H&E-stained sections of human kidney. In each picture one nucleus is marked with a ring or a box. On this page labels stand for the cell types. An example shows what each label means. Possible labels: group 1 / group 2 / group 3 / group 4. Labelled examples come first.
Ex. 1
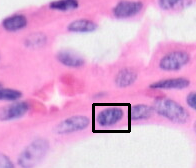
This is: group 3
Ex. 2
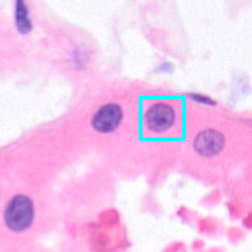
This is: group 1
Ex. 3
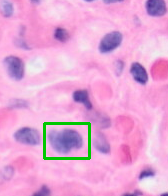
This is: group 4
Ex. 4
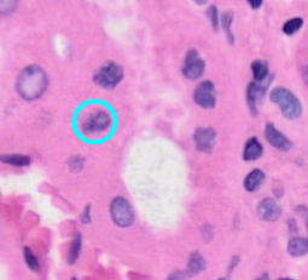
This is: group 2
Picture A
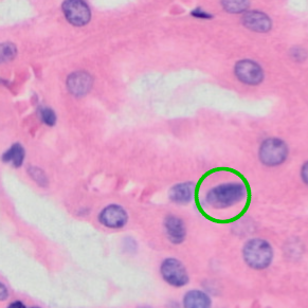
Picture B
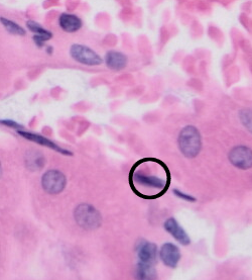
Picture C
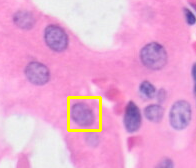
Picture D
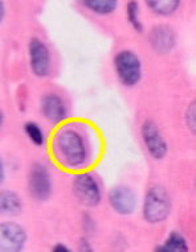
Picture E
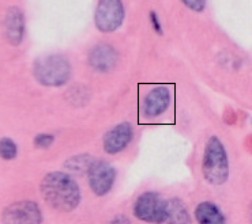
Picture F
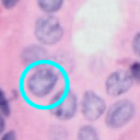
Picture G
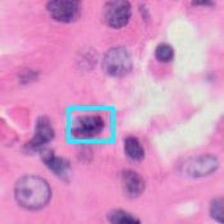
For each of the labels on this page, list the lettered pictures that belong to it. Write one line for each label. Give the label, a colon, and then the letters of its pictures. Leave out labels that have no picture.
group 1: C
group 2: D, G
group 3: E, F
group 4: A, B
